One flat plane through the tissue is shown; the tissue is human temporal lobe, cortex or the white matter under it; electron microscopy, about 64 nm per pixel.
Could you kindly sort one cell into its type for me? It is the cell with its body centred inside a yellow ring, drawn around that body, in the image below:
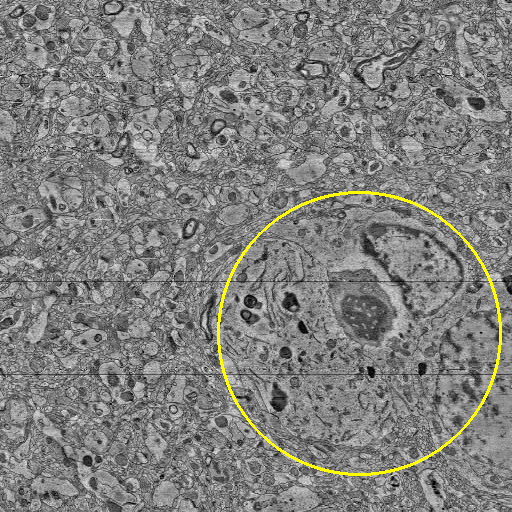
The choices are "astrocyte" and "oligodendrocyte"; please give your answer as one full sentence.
The cell whose body lies centred in the yellow ring here is an oligodendrocyte.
